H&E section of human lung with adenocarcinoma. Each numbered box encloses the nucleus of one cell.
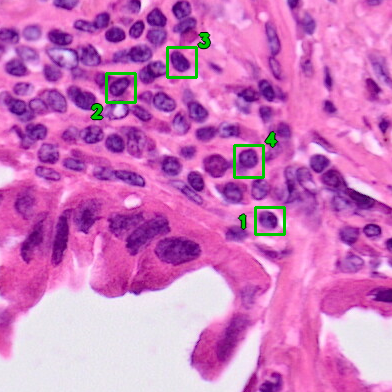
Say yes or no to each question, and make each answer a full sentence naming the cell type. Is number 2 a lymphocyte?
No. Cell number 2 is a plasma cell, not a lymphocyte.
